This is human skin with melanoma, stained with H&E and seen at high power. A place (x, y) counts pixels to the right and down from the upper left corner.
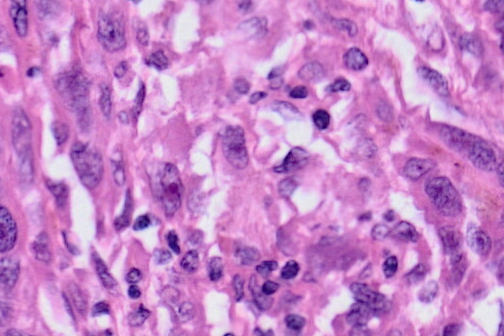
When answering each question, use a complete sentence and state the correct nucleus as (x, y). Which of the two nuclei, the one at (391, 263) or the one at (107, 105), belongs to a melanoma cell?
The nucleus at (107, 105), rather than the other, belongs to a melanoma cell.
